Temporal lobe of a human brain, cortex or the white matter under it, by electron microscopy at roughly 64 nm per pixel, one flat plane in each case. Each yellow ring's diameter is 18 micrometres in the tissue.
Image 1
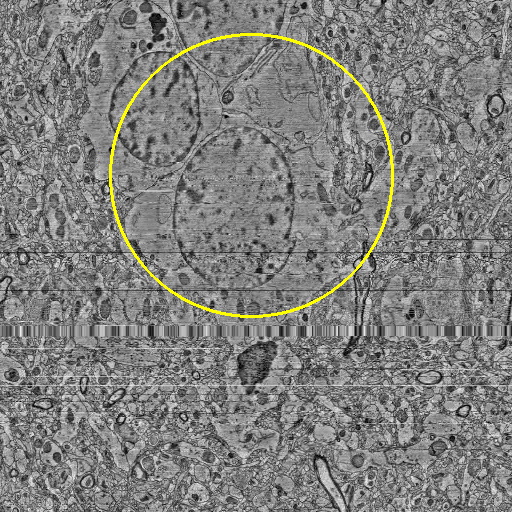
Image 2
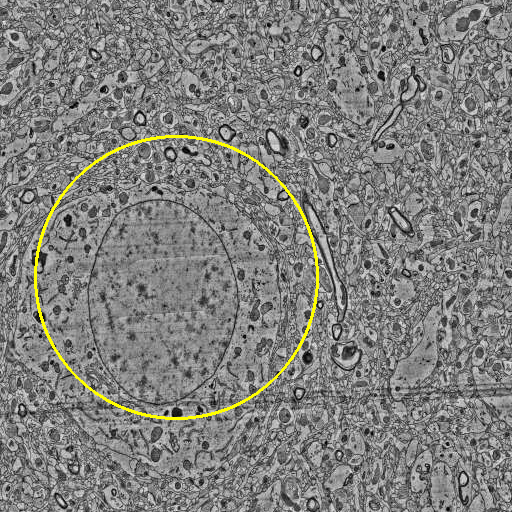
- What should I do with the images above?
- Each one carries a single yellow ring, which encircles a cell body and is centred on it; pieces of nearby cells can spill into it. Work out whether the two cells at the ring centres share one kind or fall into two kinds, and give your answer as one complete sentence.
The ring-centre cells of Image 1 and Image 2 fall into two kinds.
